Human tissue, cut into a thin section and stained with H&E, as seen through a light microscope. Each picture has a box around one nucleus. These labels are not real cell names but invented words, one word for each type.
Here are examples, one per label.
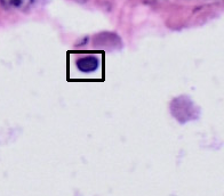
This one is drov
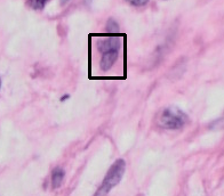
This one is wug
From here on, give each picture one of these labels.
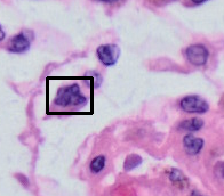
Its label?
wug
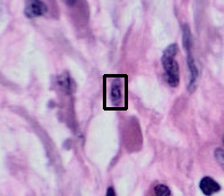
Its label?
wug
